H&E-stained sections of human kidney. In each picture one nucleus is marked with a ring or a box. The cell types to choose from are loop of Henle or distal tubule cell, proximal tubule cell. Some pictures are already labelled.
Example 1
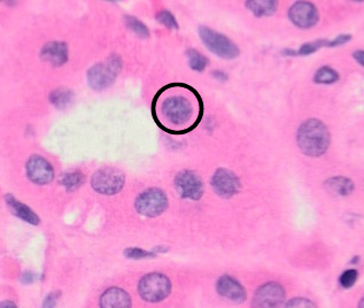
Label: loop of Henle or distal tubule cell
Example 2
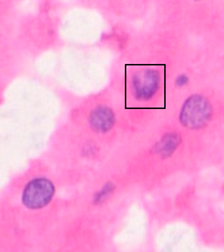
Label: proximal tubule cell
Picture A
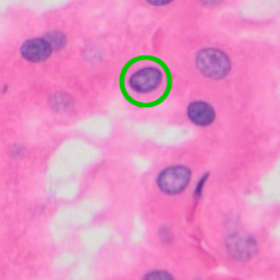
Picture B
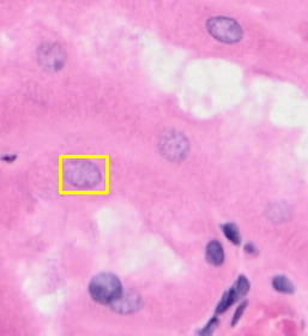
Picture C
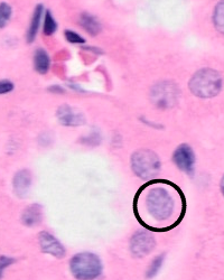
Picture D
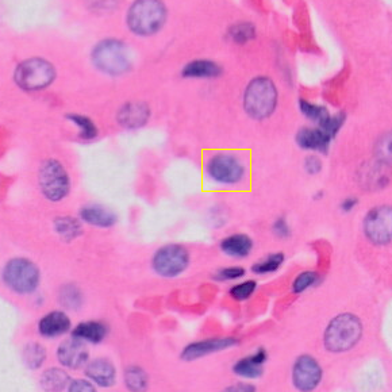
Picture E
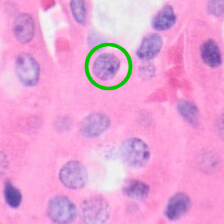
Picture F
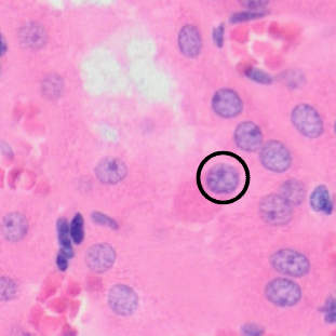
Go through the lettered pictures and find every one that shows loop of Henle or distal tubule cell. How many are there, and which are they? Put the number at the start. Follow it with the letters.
3: C, D, E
